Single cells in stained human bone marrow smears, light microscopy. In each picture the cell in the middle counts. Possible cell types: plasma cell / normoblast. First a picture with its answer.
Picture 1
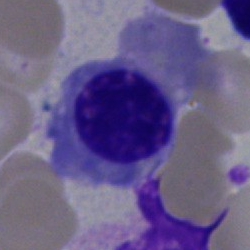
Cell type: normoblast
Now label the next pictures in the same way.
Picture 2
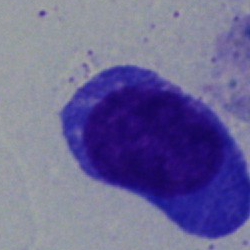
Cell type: plasma cell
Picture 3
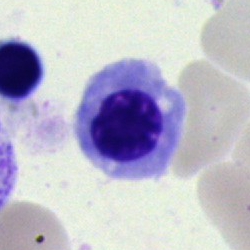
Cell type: normoblast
